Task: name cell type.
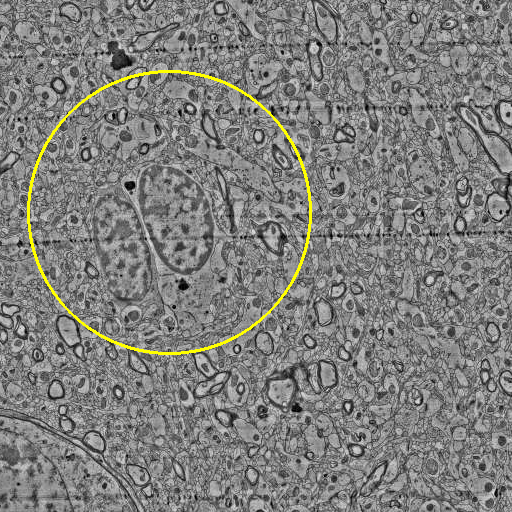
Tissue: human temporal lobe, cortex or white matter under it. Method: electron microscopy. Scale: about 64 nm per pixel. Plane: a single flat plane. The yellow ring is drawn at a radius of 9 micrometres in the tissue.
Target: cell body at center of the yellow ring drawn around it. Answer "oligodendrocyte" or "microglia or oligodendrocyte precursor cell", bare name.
microglia or oligodendrocyte precursor cell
